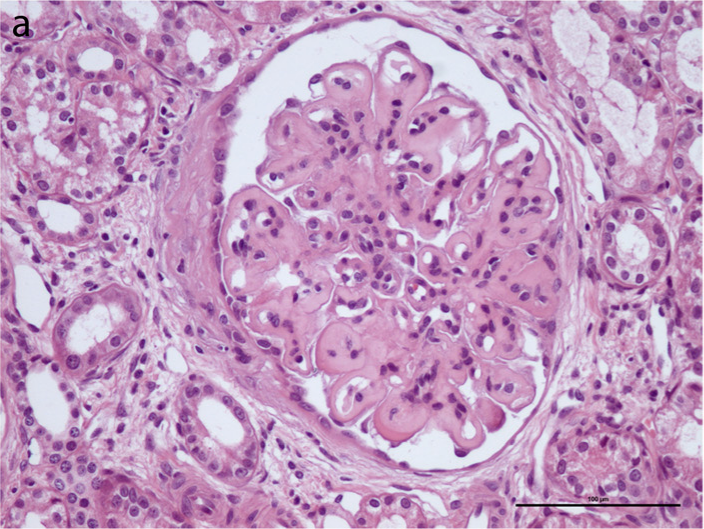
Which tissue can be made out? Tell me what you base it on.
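A rounded lobulated capillary tuft sits in the middle of the panel. Cross-sectioned tubules surround it. That points to this answer: glomeruli.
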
